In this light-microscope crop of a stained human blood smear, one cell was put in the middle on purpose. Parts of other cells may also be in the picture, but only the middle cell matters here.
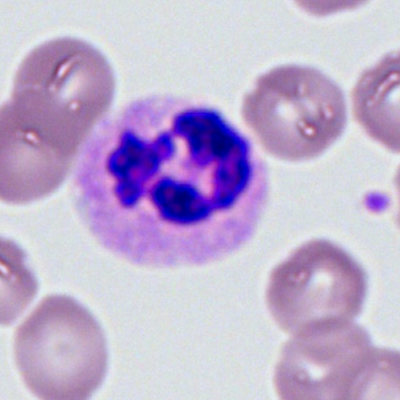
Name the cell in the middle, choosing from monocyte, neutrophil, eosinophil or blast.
neutrophil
